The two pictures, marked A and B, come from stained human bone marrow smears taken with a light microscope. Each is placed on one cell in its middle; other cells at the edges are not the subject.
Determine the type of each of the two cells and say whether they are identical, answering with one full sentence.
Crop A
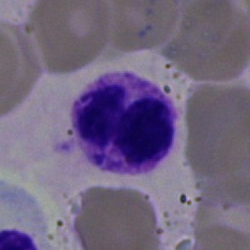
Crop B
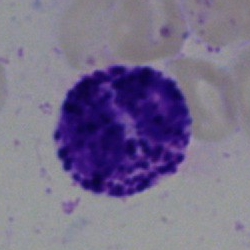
Yes, that holds, both crops show basophils.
